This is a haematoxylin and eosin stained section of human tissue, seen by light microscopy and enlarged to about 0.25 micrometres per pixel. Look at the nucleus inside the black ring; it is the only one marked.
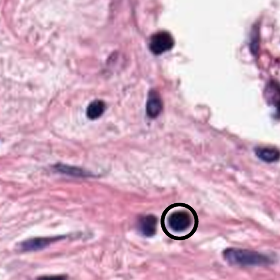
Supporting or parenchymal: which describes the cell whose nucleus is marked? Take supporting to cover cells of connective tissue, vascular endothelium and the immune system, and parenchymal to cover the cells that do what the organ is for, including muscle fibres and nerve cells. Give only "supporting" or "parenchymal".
supporting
